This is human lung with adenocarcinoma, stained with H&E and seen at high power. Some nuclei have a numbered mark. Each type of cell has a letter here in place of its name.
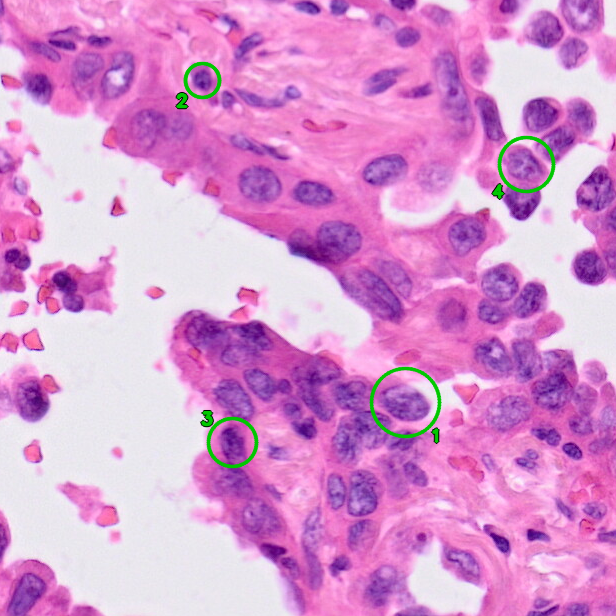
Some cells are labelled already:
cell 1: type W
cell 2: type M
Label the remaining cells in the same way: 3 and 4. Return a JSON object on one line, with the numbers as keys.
{"3": "type W", "4": "type W"}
